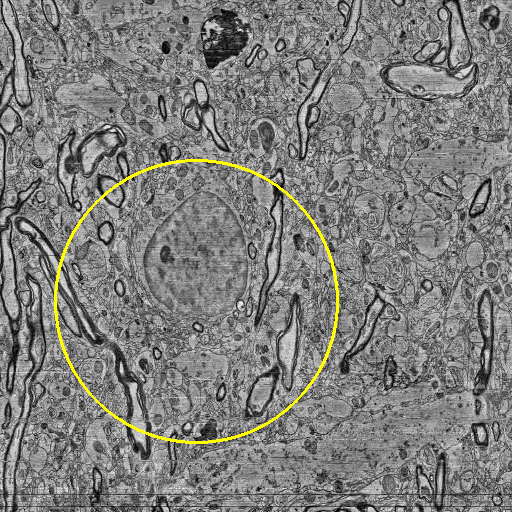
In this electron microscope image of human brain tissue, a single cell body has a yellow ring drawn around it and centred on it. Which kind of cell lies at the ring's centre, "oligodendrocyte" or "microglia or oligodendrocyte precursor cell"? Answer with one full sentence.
It is an oligodendrocyte whose cell body lies at the centre of the yellow ring here.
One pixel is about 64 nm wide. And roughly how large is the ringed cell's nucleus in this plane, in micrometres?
The ringed cell's nucleus measures approximately 9 by 7 micrometres in this plane.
